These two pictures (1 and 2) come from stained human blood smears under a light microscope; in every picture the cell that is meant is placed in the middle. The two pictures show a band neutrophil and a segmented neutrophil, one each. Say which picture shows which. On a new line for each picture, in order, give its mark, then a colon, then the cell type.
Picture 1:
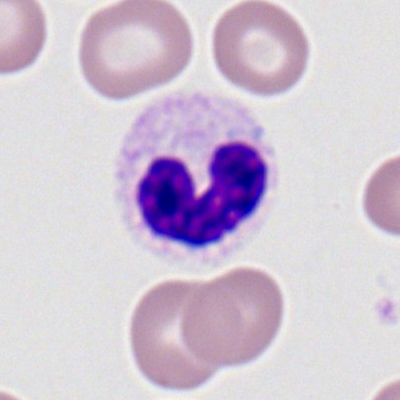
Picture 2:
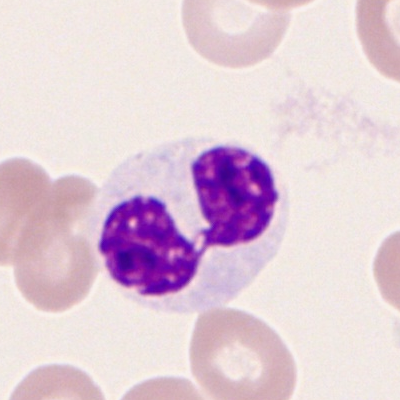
1: band neutrophil
2: segmented neutrophil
